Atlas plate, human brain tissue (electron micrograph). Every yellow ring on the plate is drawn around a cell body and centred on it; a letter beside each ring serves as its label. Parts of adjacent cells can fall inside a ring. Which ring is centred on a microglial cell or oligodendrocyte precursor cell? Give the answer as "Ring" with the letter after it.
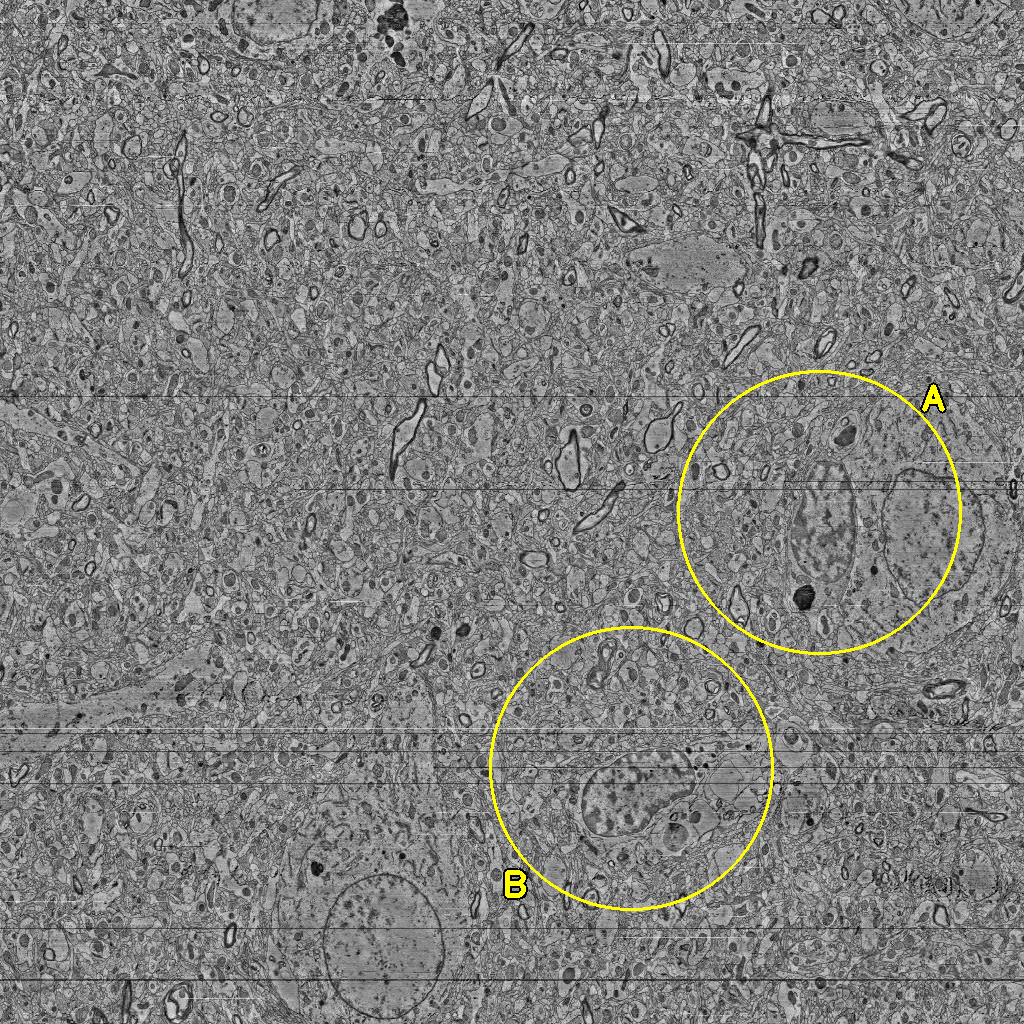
Ring B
